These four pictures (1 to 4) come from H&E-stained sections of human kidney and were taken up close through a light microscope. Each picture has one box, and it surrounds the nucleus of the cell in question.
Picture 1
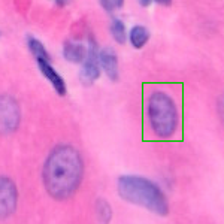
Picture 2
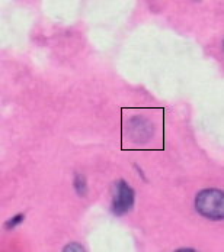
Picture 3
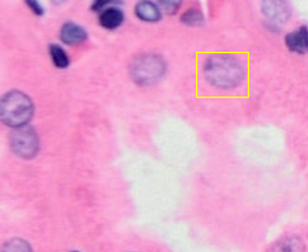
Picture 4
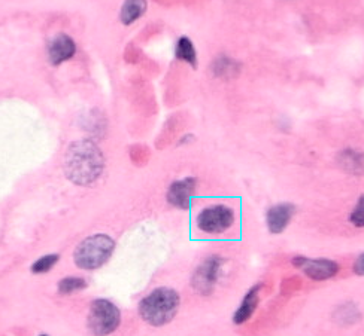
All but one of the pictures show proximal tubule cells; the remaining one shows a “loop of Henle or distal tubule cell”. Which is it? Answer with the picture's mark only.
4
